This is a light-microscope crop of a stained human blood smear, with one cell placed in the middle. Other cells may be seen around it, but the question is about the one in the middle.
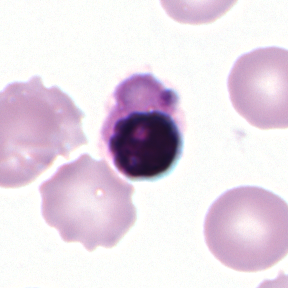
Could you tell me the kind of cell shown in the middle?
normoblast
